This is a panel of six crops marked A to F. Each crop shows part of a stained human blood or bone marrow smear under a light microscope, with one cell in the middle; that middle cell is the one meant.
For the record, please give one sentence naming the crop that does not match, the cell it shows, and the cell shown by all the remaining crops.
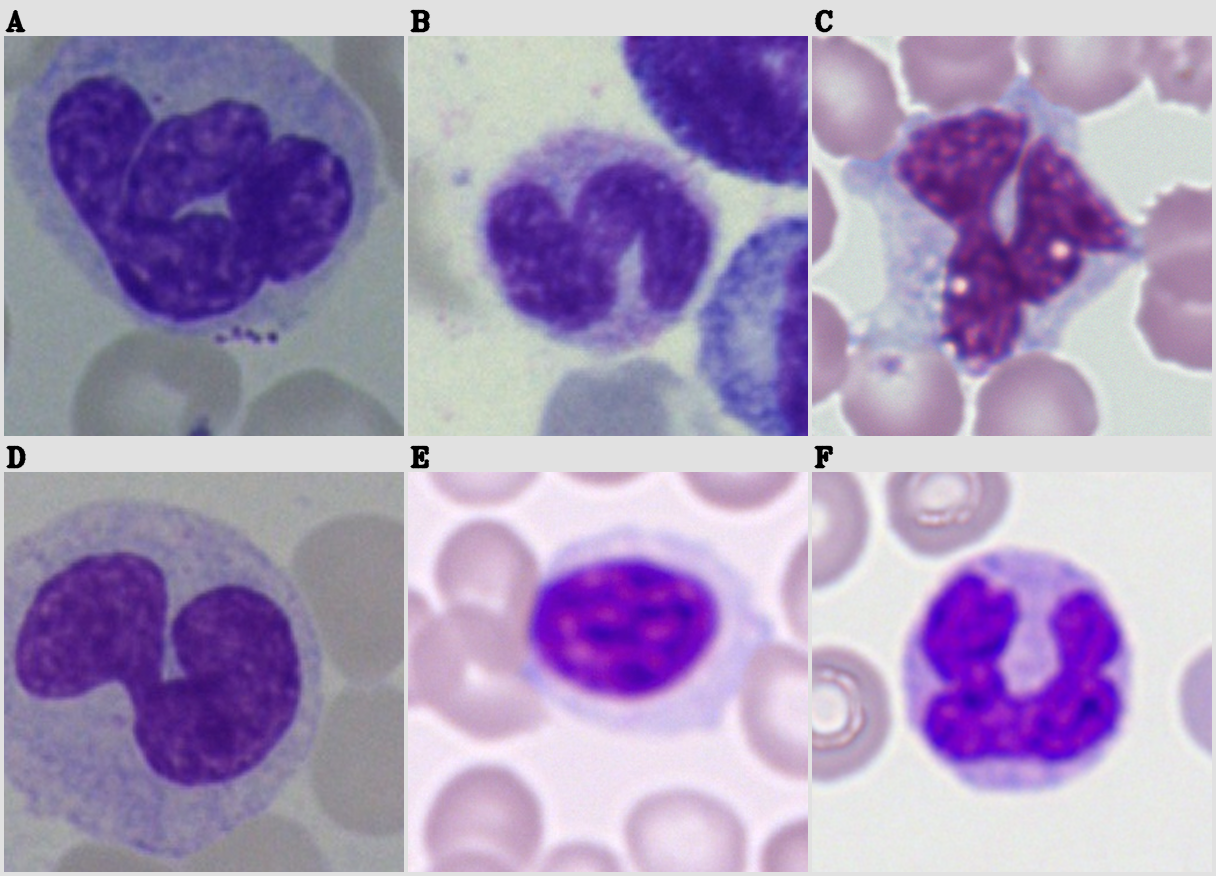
With the other crops all showing monocytes, crop E differs by showing a lymphocyte.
